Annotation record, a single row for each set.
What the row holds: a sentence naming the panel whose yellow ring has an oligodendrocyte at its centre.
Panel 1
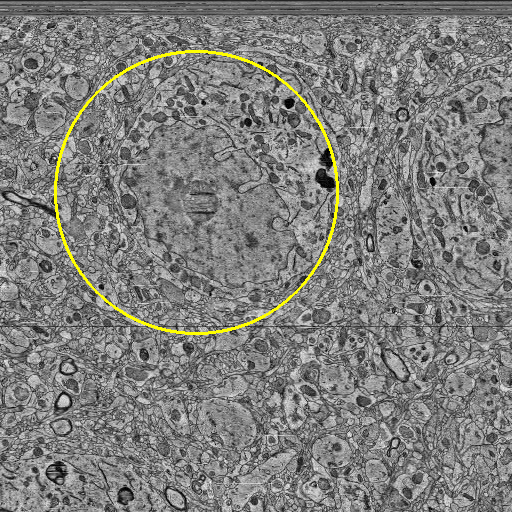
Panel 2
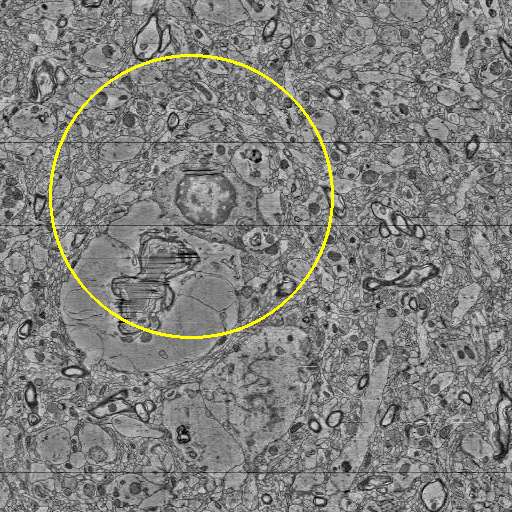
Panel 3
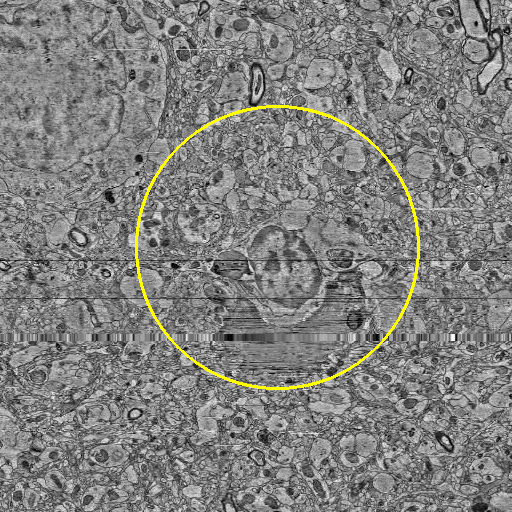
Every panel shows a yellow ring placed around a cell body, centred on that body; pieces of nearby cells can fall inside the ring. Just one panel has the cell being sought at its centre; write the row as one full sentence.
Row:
In panel 2, the cell at the middle of the yellow ring is the one sought.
